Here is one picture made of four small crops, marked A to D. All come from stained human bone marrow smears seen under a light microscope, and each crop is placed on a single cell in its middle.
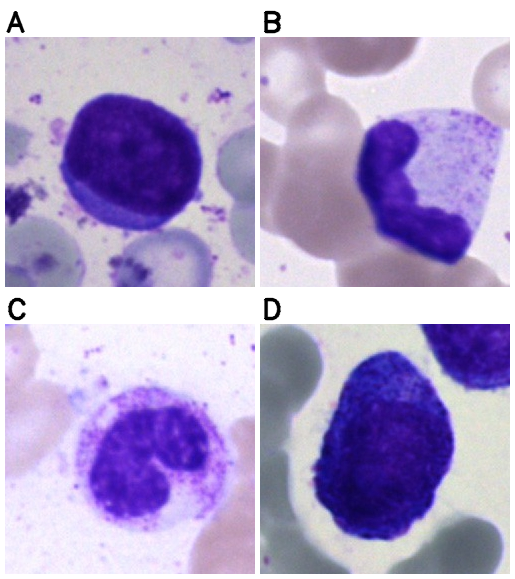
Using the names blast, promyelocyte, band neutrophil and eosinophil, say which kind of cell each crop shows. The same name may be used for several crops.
A: blast
B: band neutrophil
C: band neutrophil
D: blast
